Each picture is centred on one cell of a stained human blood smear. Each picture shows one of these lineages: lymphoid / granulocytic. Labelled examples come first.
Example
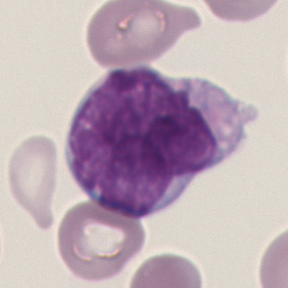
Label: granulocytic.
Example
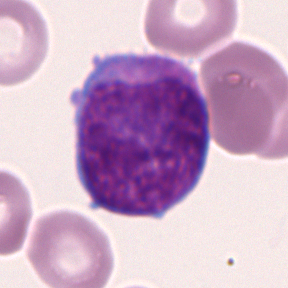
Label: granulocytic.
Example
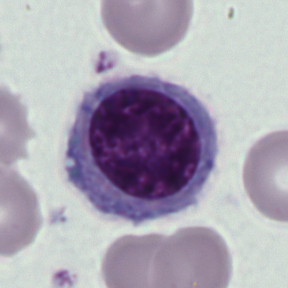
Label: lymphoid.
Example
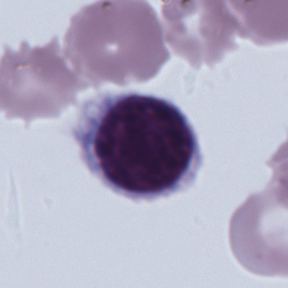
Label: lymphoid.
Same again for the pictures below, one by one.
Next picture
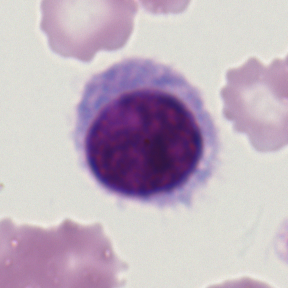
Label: lymphoid.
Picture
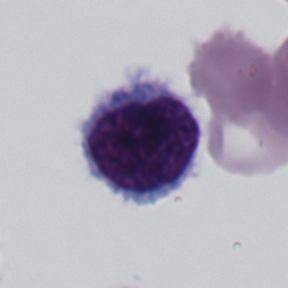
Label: lymphoid.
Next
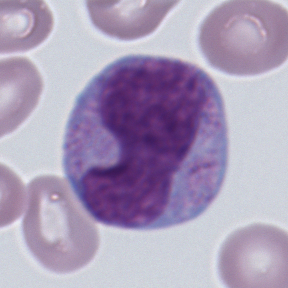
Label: granulocytic.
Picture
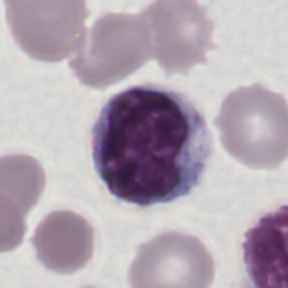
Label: lymphoid.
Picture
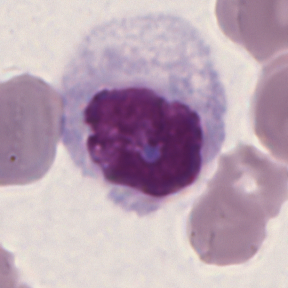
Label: lymphoid.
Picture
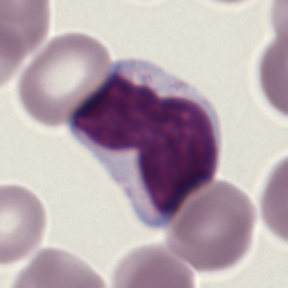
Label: lymphoid.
